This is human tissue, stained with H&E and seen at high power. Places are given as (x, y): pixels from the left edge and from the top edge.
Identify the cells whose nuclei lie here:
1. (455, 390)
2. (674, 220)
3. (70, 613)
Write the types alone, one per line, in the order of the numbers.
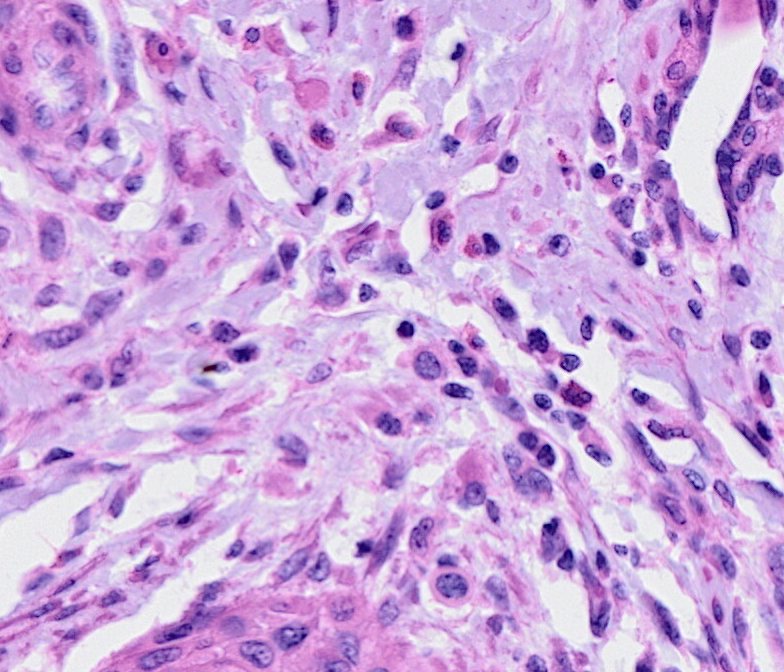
lymphocyte
endothelial cell
fibroblast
